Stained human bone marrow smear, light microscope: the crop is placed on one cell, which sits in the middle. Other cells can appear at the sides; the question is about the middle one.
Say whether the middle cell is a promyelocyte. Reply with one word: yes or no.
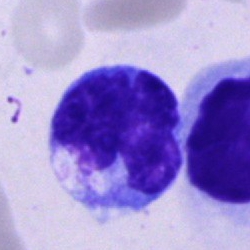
no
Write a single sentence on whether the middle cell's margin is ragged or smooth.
Projections or ragged segments give this cell an irregular rather than smooth border.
